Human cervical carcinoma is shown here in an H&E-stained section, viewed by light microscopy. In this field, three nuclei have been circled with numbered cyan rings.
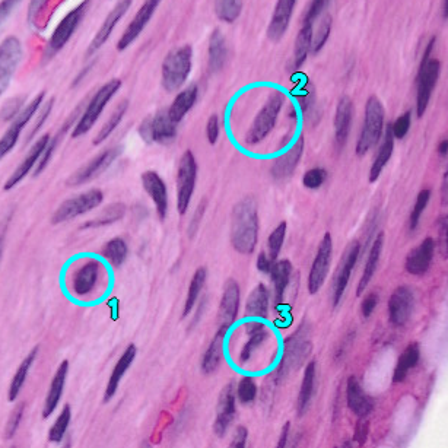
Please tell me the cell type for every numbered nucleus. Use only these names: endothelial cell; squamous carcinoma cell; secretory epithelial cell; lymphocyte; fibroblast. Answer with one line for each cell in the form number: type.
1: endothelial cell
2: fibroblast
3: fibroblast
